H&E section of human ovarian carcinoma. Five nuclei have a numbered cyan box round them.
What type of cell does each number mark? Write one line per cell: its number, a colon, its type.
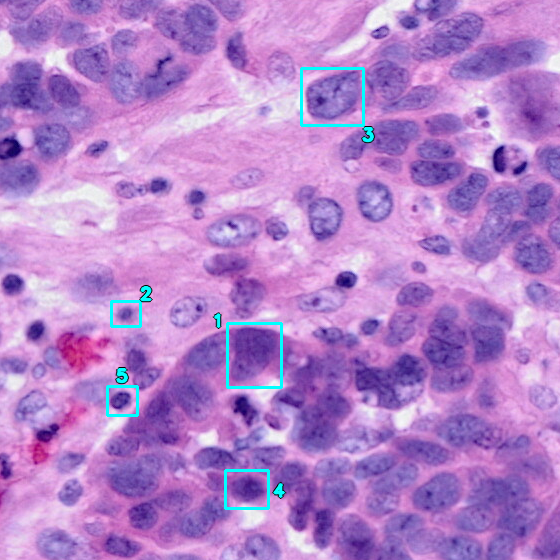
1: carcinoma cell
2: lymphocyte
3: carcinoma cell
4: carcinoma cell
5: lymphocyte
